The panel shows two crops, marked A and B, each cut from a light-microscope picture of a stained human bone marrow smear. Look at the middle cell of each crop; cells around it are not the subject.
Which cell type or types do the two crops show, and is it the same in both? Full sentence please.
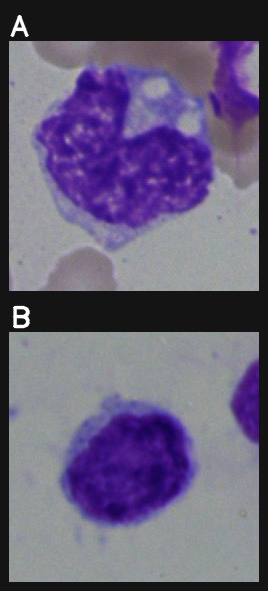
No, the cell in crop A is a monocyte and the one in crop B is a hairy cell.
